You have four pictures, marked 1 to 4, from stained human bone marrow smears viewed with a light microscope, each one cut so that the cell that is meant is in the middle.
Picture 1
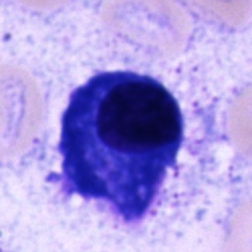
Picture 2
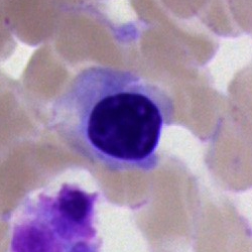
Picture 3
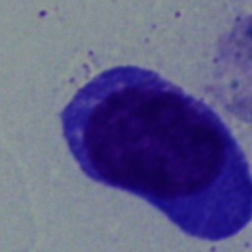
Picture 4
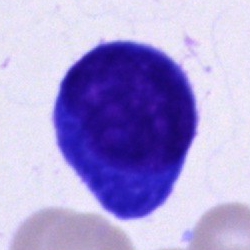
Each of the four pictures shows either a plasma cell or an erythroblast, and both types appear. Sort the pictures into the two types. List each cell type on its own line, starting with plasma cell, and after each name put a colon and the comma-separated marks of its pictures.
plasma cell: 1, 3, 4
erythroblast: 2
